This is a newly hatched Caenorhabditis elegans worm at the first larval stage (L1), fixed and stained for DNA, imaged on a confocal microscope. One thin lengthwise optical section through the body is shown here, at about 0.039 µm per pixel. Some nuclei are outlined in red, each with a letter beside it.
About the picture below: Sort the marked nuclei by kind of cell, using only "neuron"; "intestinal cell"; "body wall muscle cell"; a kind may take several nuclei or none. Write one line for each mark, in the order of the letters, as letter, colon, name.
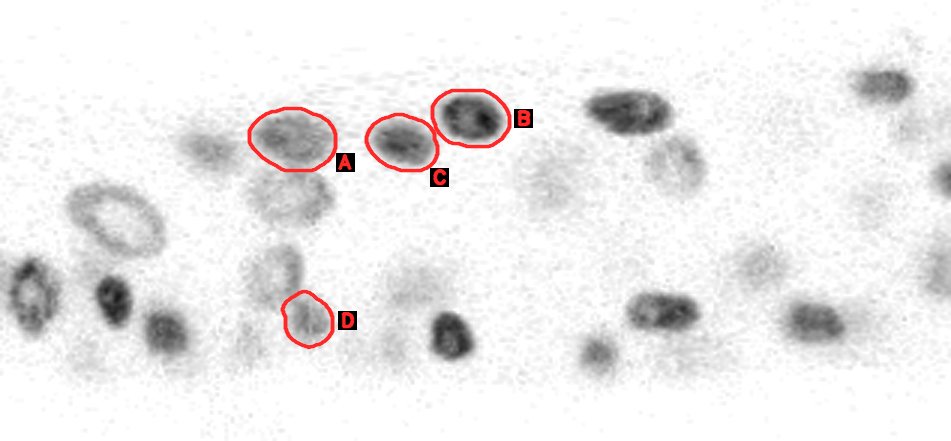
A: body wall muscle cell
B: body wall muscle cell
C: neuron
D: body wall muscle cell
